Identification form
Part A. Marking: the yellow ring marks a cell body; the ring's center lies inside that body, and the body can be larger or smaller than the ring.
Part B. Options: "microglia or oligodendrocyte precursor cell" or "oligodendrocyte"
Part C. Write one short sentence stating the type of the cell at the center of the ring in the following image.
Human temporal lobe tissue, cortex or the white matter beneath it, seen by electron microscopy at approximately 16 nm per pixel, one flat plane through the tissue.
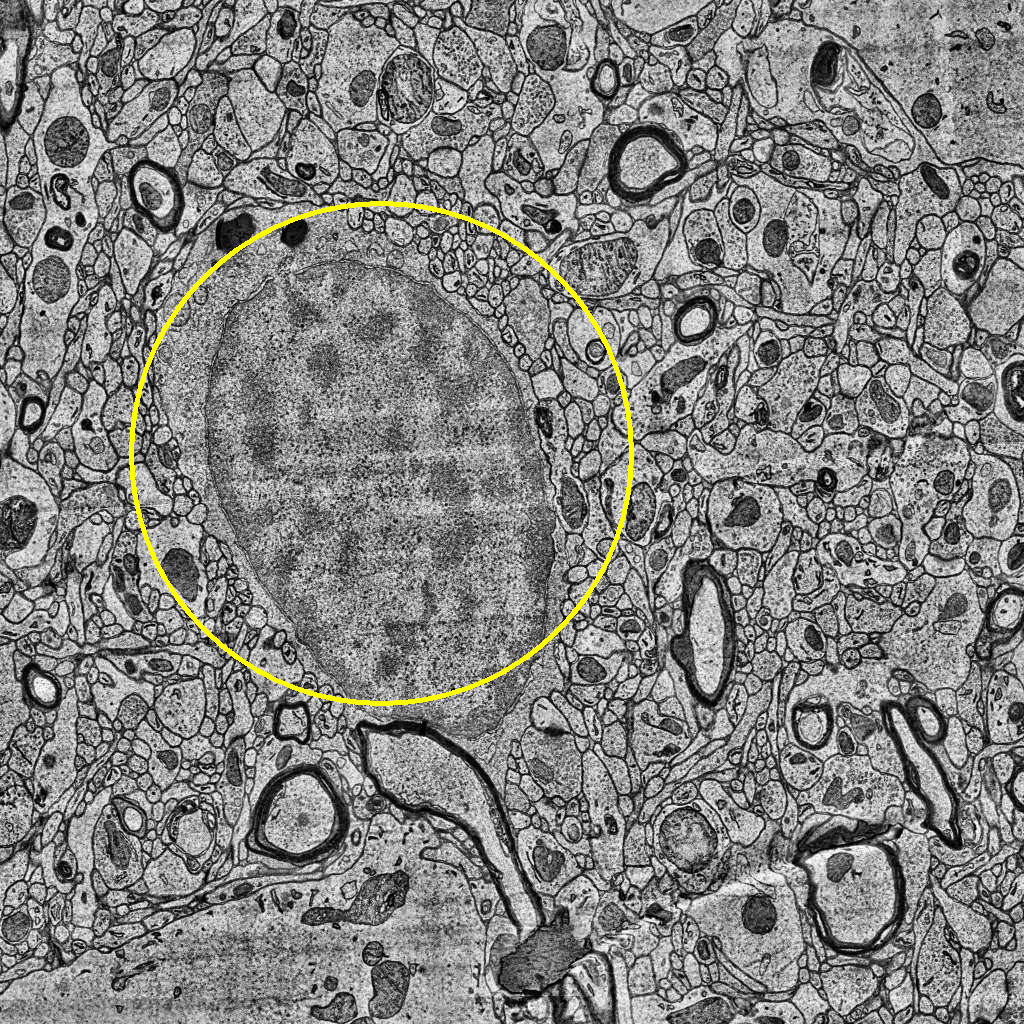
The center of the ring holds an oligodendrocyte.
